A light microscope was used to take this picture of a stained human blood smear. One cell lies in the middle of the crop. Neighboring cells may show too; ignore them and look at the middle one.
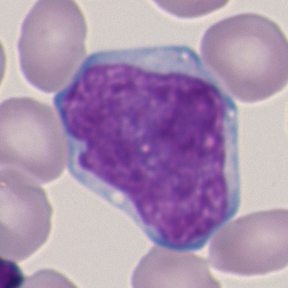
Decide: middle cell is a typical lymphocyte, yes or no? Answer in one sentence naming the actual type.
No, not a typical lymphocyte here; the centered cell is a myeloblast.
